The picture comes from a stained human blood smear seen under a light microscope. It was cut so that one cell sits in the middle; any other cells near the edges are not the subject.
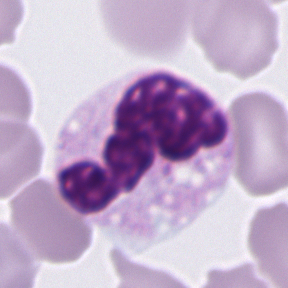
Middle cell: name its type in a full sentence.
The crop shows a neutrophil in its centre.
